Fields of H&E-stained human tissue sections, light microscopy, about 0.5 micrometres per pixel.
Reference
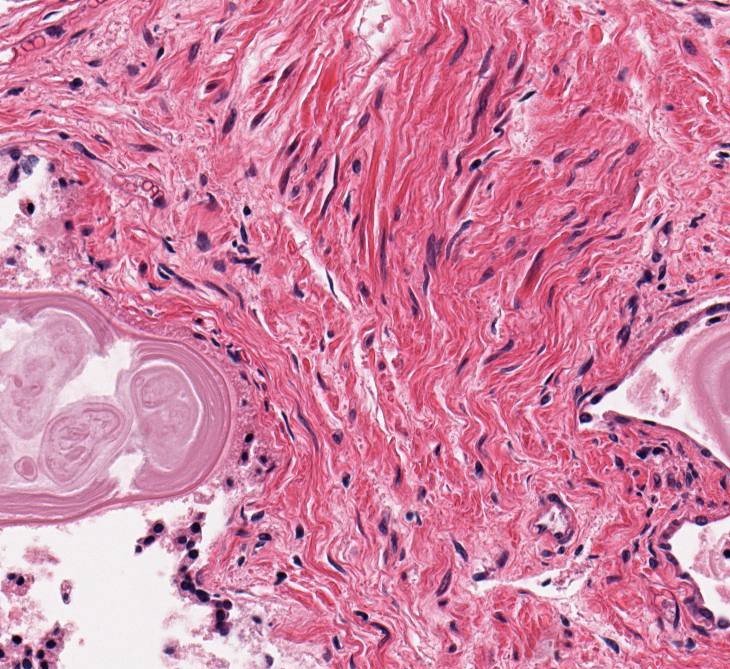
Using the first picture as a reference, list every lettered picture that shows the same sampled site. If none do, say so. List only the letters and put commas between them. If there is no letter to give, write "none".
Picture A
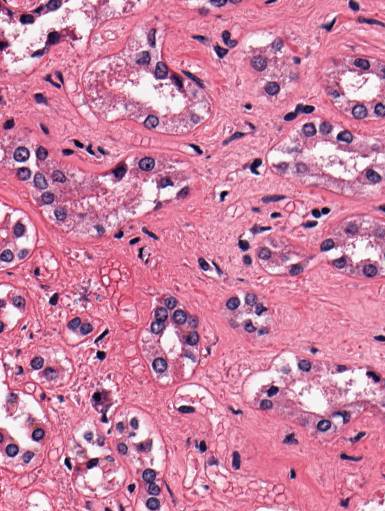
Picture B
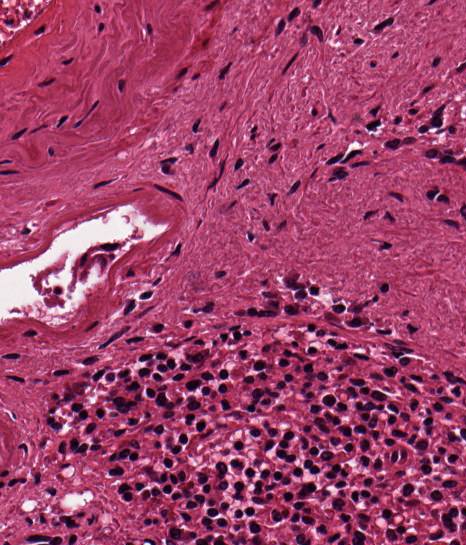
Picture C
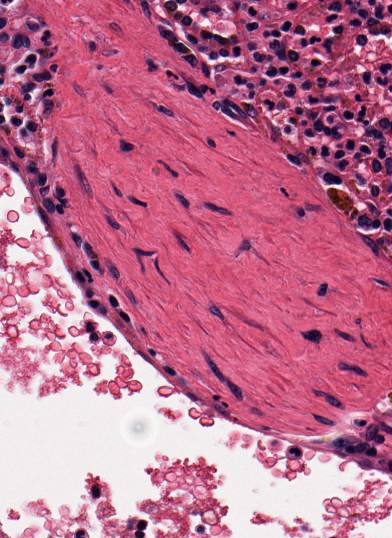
none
